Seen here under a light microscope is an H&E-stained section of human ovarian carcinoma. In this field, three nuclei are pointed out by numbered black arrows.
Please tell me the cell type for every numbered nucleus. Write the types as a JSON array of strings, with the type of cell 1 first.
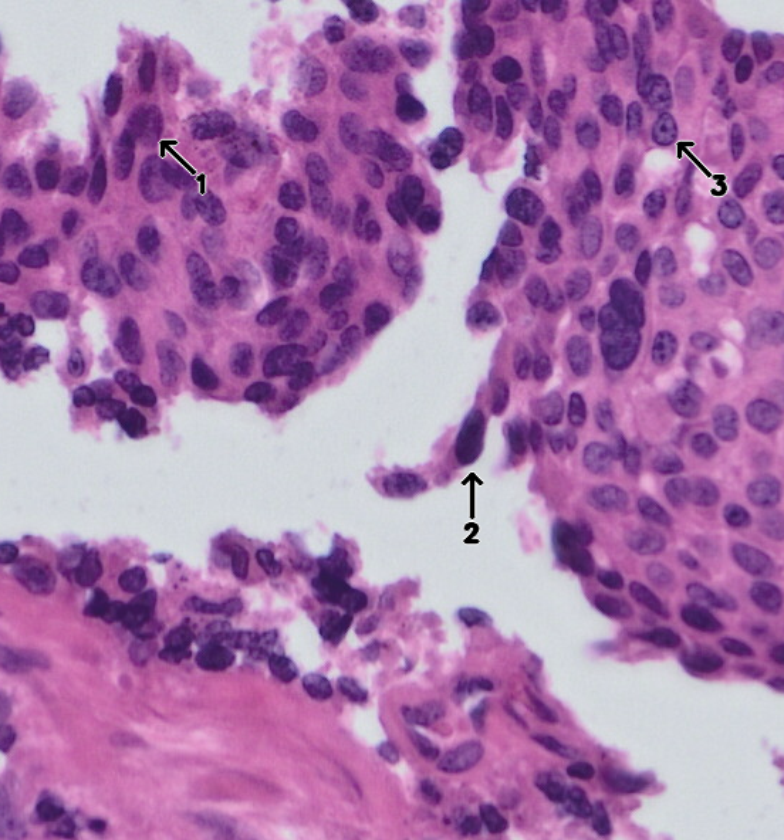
["carcinoma cell", "carcinoma cell", "macrophage or monocyte"]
